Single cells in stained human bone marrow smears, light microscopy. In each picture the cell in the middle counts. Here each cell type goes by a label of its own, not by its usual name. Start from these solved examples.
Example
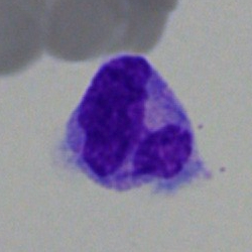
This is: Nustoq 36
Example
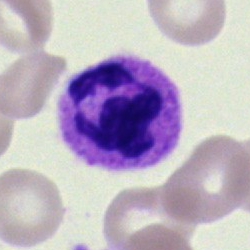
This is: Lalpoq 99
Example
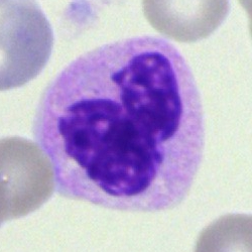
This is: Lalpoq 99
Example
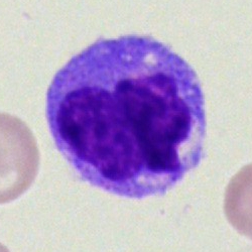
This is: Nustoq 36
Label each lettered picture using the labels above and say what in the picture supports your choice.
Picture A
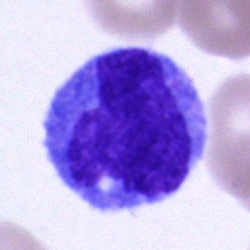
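Nustoq 36. Evidence: The nucleus fills most of the cell.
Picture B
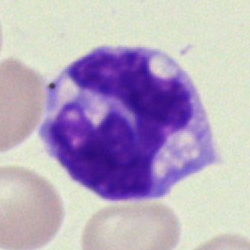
Nustoq 36. Evidence: The nucleus fills most of the cell.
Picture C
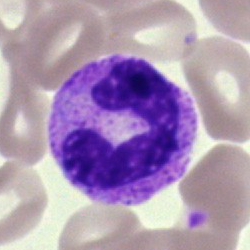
Lalpoq 99. Evidence: The cytoplasm is plentiful and pale lilac-pink.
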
